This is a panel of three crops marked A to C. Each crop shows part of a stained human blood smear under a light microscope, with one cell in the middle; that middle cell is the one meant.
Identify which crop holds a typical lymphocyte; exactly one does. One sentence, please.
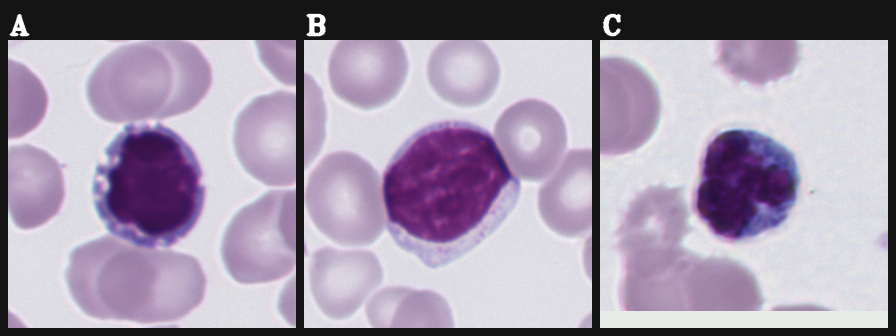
Of the cells presented, the one in crop A is a typical lymphocyte.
